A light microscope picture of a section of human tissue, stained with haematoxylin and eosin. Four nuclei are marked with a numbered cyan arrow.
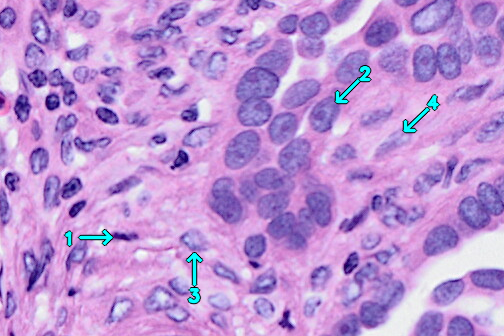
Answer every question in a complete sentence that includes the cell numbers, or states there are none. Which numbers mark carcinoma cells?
Cell 2 is a carcinoma cell and is the only numbered cell of that kind.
